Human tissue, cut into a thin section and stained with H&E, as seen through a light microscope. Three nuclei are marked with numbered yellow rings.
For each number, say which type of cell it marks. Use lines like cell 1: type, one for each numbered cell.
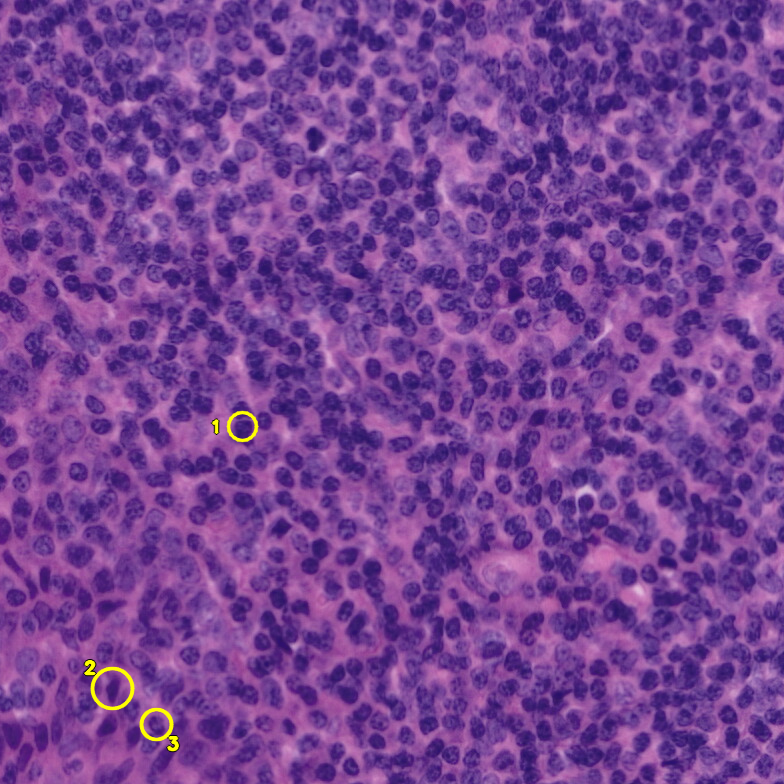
cell 1: plasma cell
cell 2: squamous epithelial cell
cell 3: plasma cell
